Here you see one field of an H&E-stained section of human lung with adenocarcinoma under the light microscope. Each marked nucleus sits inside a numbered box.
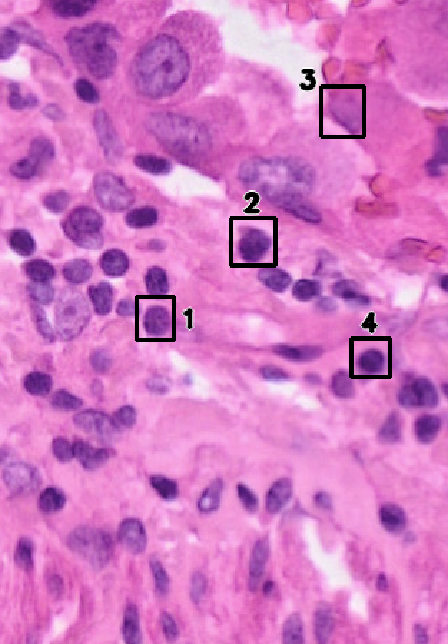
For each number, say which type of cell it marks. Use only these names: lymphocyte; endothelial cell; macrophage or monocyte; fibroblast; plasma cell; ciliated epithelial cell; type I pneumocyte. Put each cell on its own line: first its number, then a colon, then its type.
1: lymphocyte
2: lymphocyte
3: macrophage or monocyte
4: lymphocyte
